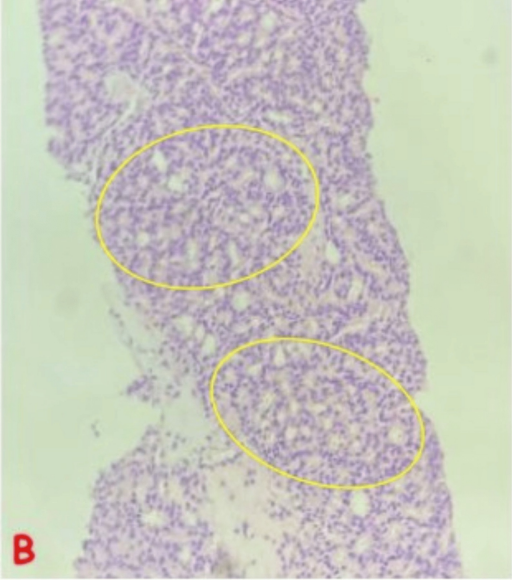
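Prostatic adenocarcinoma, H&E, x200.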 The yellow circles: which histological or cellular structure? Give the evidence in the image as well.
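Crowded sheets of cells are punched by many small round clear spaces. Little or no stroma separates the cell groups.
Answer: irregular cribriform acini with small round lumina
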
